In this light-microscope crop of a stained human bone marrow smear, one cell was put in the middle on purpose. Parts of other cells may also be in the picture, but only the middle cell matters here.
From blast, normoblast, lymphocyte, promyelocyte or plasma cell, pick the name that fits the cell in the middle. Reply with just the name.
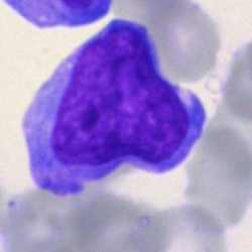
blast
